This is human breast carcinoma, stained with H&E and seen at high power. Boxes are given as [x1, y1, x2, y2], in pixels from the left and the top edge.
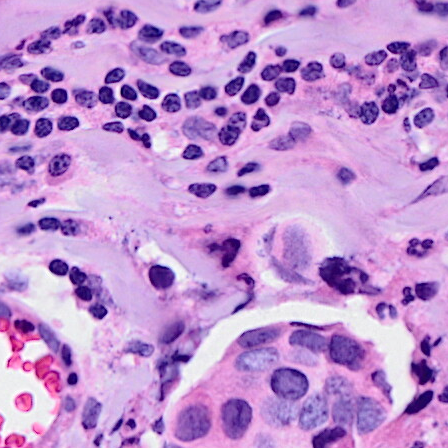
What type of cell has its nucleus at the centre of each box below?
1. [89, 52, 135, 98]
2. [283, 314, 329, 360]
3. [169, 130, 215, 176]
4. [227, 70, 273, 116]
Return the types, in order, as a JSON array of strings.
["lymphocyte", "carcinoma cell", "lymphocyte", "lymphocyte"]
